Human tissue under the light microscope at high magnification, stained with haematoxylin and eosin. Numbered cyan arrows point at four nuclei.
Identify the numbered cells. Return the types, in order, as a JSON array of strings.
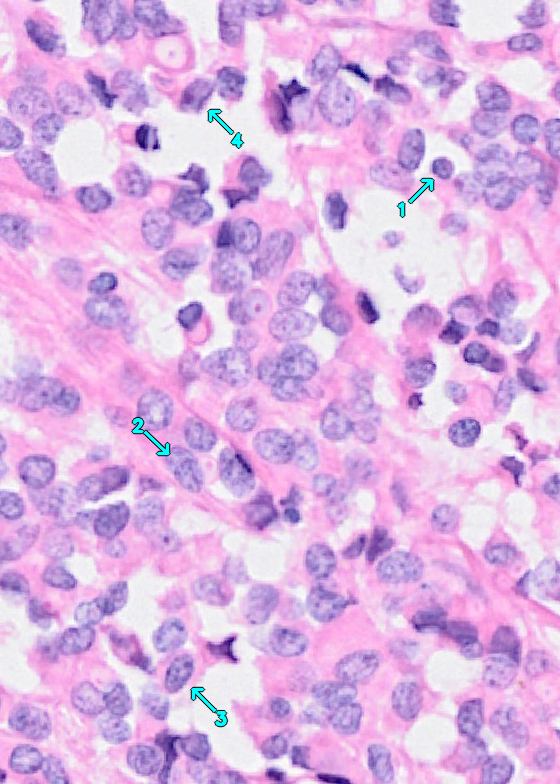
["lymphocyte", "carcinoma cell", "carcinoma cell", "carcinoma cell"]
